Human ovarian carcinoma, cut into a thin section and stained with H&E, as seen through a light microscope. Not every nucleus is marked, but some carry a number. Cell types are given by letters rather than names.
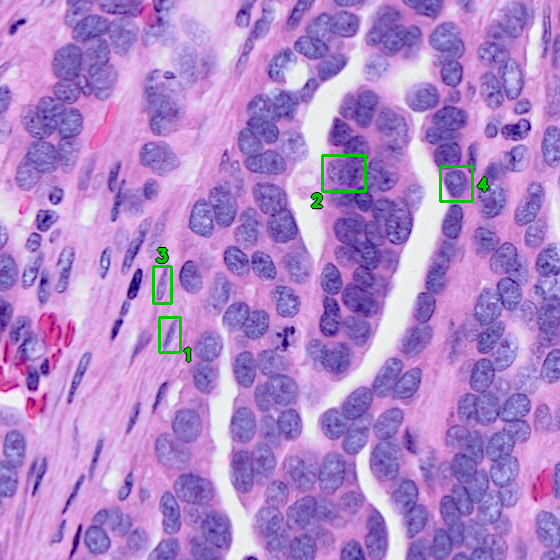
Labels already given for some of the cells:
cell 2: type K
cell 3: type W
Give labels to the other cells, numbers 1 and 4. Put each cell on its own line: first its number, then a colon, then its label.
1: type W
4: type K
